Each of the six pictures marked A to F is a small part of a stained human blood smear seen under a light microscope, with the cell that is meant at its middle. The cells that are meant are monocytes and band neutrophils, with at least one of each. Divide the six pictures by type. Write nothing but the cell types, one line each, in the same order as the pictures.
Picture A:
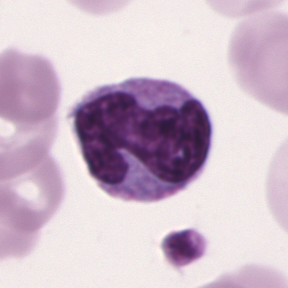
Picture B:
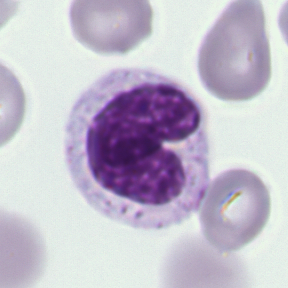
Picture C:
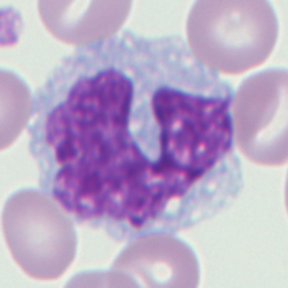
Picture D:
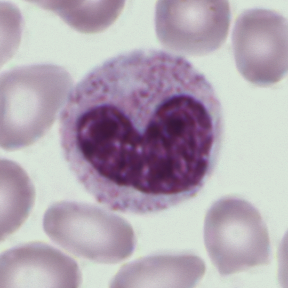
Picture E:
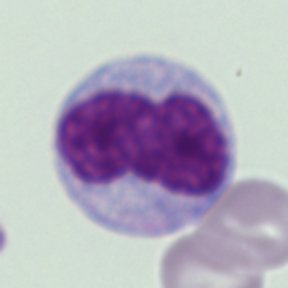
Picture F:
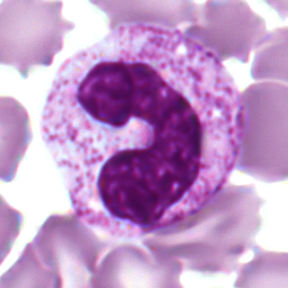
monocyte
band neutrophil
monocyte
band neutrophil
monocyte
band neutrophil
